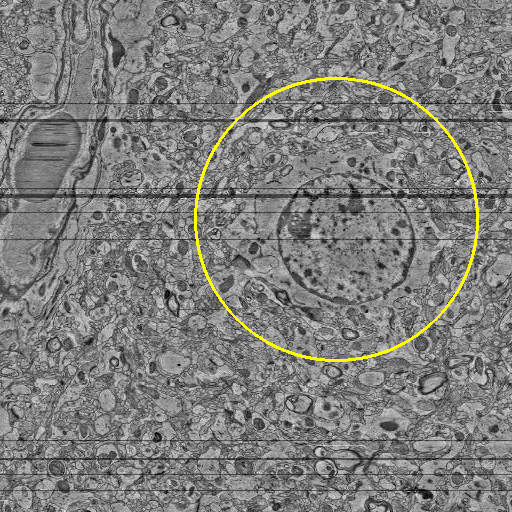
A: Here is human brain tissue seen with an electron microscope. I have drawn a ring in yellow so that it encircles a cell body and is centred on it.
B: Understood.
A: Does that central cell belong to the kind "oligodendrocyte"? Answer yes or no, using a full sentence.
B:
No, the central cell inside your yellow ring belongs to another kind.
